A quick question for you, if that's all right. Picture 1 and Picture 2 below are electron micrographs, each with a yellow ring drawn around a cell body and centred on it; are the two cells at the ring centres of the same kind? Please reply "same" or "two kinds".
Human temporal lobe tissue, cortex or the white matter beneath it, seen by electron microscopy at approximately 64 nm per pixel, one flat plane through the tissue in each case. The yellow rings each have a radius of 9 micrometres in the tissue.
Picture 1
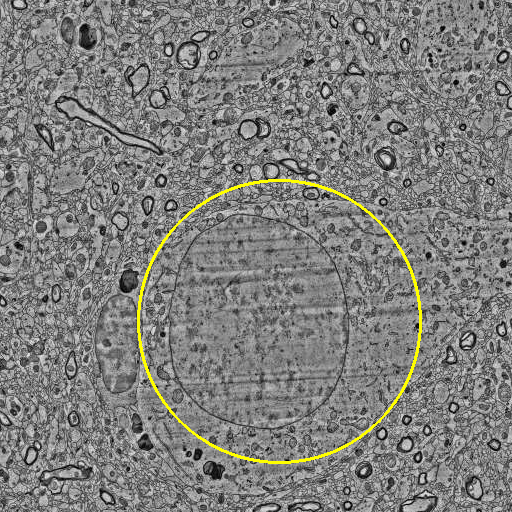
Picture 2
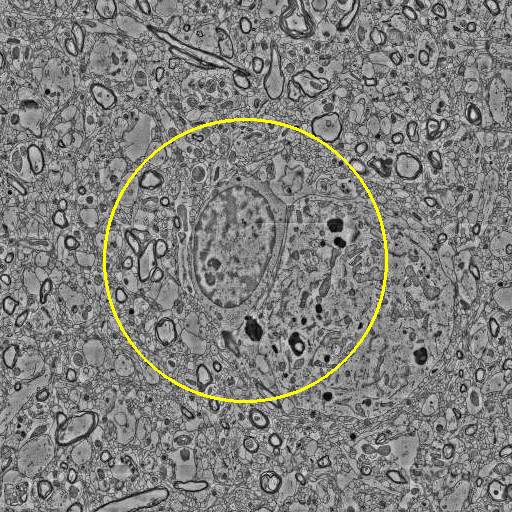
two kinds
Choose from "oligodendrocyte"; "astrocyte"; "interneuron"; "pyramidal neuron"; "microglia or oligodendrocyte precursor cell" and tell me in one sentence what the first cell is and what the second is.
What the first ring is centred on is a pyramidal neuron; what the second ring is centred on is an oligodendrocyte.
